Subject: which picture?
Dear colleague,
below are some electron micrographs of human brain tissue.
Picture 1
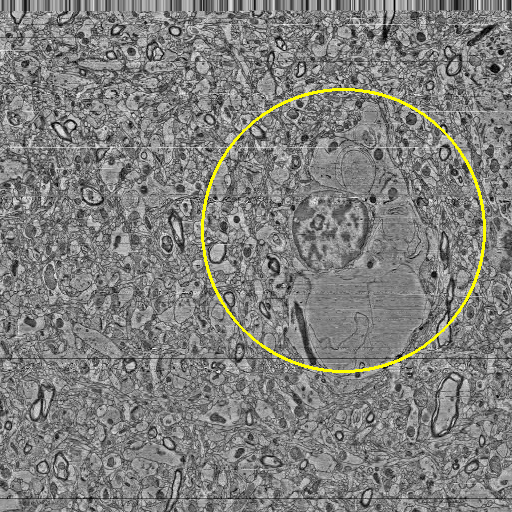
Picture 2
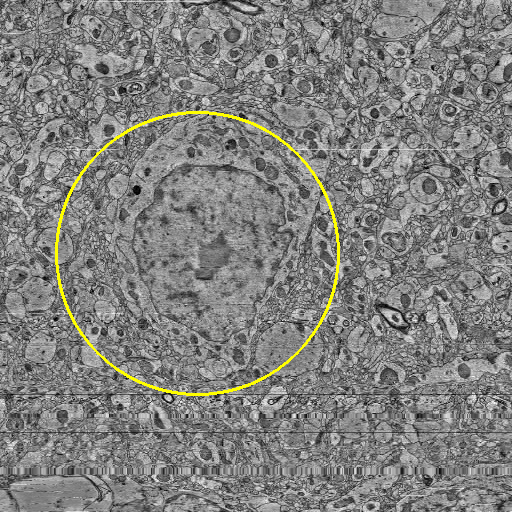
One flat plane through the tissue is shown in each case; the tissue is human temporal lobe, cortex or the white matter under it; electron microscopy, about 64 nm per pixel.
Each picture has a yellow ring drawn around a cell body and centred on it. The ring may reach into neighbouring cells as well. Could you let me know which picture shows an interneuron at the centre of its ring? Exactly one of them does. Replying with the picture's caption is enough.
Picture 2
